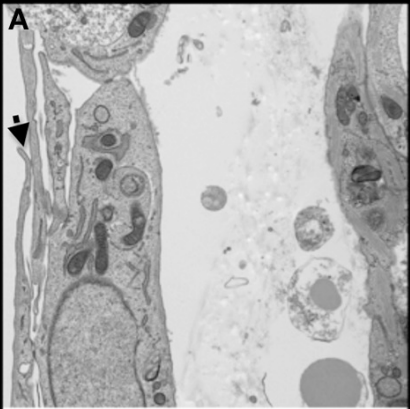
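At lower left a cell holds a large oval nucleus with finely granular chromatin; above it the cytoplasm contains several dark, elongated to ring-shaped mitochondria. Along the left edge run thin, flattened membrane-bound strands parallel to the cell. The pale space in the middle holds scattered vesicles, round dense bodies and fragments of debris. At the right edge another elongated cell contains dark mitochondria and some dense bodies.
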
